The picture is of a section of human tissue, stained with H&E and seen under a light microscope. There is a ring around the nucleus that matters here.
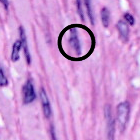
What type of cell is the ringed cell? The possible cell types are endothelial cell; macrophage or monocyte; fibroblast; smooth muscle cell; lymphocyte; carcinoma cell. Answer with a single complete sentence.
The cell type of the ringed cell is that of a fibroblast.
